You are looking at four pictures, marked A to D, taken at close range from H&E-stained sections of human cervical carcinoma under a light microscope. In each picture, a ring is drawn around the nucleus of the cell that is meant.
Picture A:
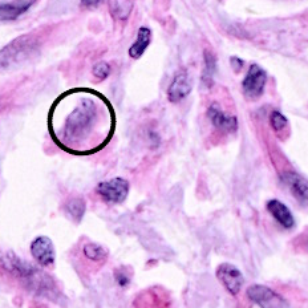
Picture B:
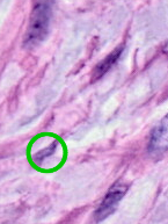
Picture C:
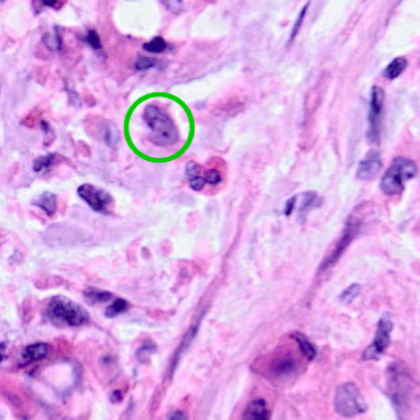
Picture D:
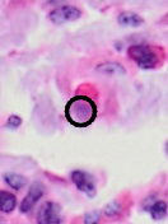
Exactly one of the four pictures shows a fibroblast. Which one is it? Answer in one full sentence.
Picture B shows the fibroblast.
